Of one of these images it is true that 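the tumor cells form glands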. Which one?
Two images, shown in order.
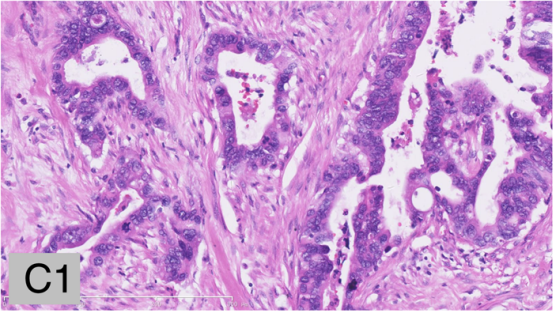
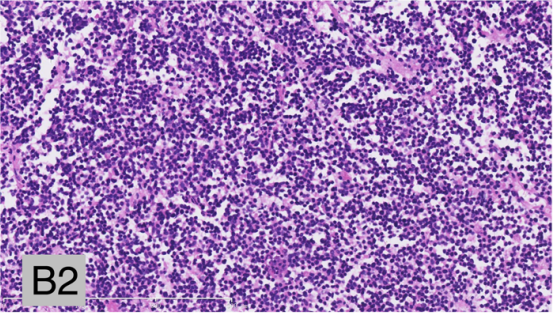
the first image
